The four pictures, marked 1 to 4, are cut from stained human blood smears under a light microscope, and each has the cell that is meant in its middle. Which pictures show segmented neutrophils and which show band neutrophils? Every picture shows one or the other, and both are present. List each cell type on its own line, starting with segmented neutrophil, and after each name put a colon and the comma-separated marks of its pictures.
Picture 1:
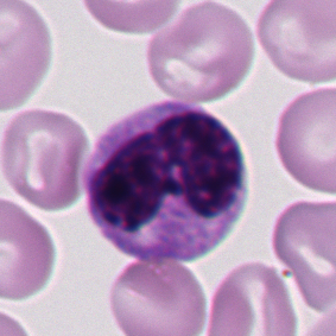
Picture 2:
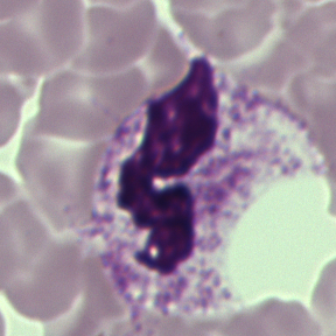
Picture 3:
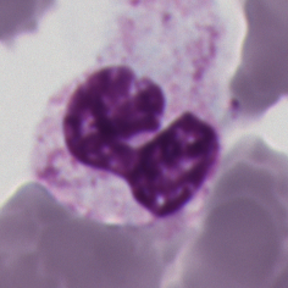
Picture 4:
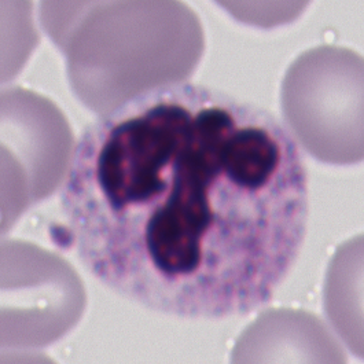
segmented neutrophil: 2, 3, 4
band neutrophil: 1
